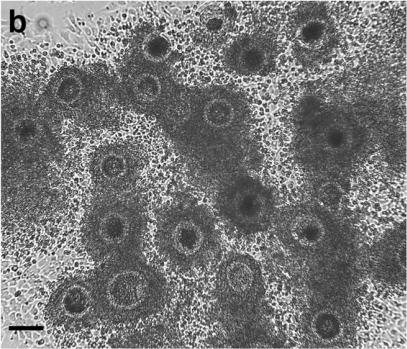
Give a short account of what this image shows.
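Oocytes surrounded by expanded cumulus cells. Several round oocytes, each with a dark central ooplasm and a pale ring of zona around it, lie embedded in a broad sheet of small cells. The cumulus cells are no longer tightly packed around each oocyte but are dispersed into a loose, granular mass that spreads outward and merges between neighbouring oocytes, so that individual complexes run together into one continuous layer. The cells are densest close to each oocyte and thin out further away, with small gaps between them.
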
